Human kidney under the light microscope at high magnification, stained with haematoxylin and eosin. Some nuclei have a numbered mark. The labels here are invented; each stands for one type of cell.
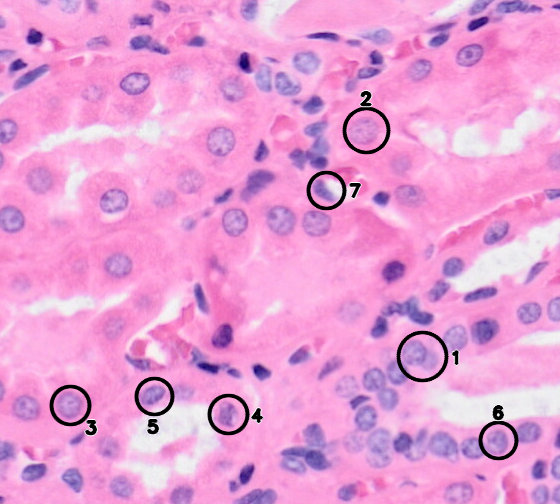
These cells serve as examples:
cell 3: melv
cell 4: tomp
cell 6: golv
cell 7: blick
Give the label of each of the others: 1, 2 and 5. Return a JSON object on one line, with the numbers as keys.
{"1": "golv", "2": "melv", "5": "tomp"}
